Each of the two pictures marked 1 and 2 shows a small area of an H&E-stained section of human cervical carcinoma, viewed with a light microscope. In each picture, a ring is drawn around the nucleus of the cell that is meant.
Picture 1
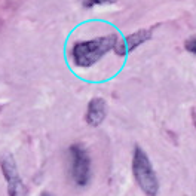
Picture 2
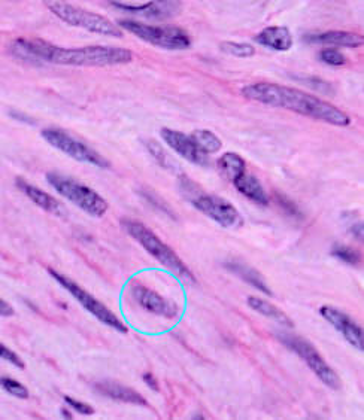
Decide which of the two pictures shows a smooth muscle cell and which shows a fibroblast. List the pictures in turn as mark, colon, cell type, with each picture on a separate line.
1: fibroblast
2: smooth muscle cell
